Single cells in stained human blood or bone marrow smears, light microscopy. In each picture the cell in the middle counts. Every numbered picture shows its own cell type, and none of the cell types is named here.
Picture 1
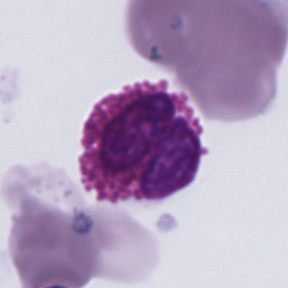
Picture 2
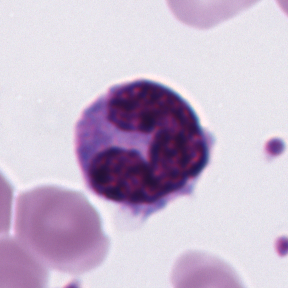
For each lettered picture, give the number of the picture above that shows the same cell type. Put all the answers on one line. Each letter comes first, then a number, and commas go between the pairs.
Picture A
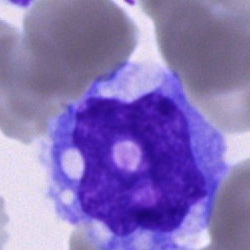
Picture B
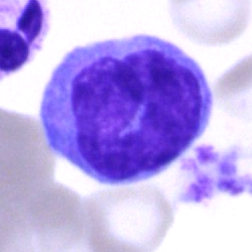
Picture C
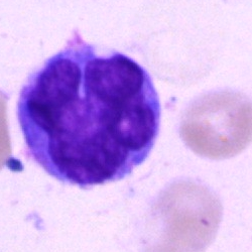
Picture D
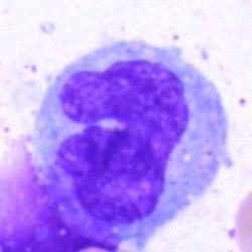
A 2, B 2, C 2, D 2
